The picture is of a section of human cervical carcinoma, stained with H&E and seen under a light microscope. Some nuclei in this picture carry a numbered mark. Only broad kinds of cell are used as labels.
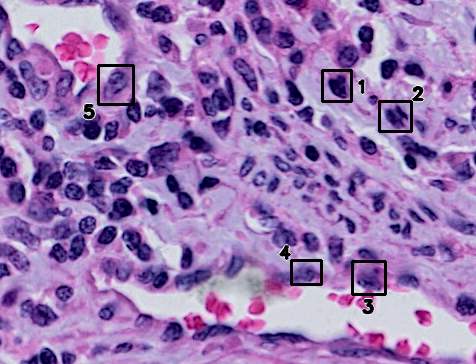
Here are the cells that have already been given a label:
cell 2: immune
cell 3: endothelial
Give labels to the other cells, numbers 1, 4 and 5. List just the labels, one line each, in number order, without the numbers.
immune
endothelial
endothelial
